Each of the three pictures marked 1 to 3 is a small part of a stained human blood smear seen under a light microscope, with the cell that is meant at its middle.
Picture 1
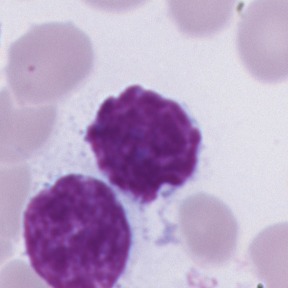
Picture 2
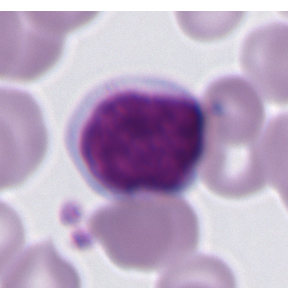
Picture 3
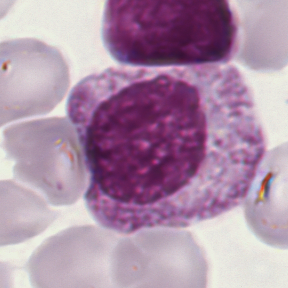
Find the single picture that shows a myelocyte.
3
